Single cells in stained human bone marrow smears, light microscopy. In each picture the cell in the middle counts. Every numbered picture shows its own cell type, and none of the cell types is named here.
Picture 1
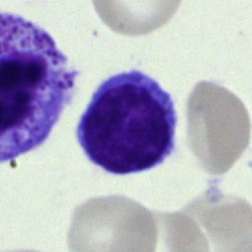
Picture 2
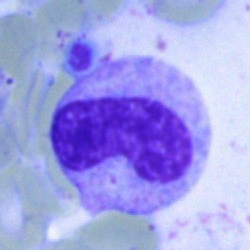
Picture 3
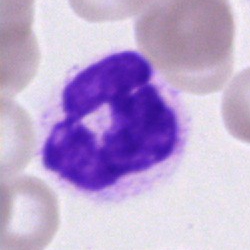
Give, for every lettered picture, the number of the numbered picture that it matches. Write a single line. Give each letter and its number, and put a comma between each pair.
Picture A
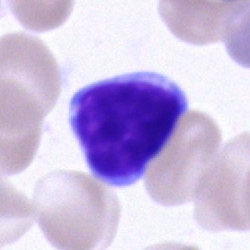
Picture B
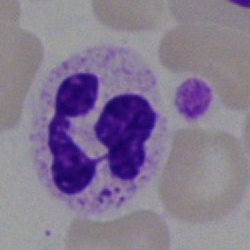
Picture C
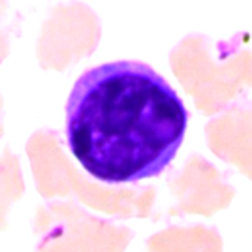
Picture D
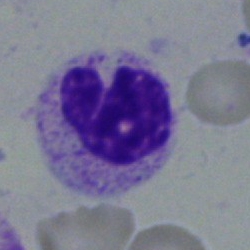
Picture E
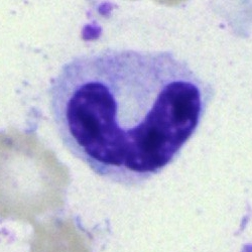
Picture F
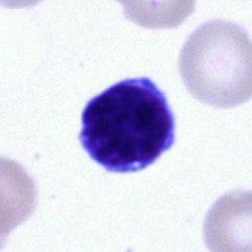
A 1, B 3, C 1, D 2, E 2, F 1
